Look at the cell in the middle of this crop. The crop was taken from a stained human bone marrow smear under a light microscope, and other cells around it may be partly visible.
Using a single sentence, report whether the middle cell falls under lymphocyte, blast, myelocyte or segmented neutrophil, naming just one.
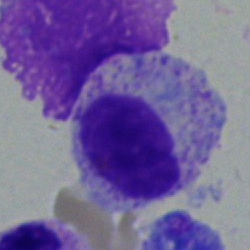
The central cell in this smear crop is a myelocyte.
